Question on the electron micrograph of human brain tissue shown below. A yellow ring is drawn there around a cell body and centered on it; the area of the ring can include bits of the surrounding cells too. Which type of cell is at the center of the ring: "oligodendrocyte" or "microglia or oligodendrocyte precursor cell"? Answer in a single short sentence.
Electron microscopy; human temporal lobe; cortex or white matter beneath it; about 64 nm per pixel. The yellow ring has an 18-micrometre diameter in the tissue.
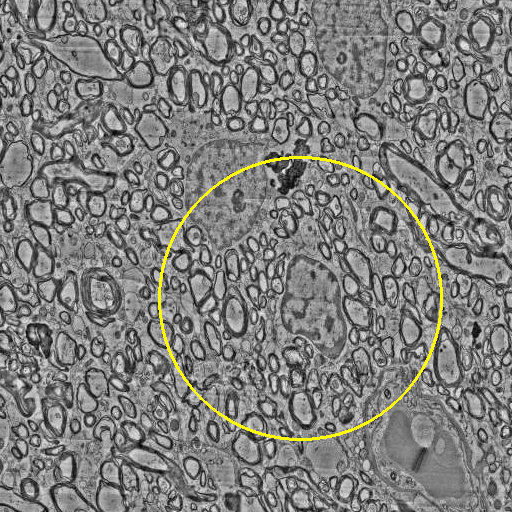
The ring is centered on a microglial cell or oligodendrocyte precursor cell.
